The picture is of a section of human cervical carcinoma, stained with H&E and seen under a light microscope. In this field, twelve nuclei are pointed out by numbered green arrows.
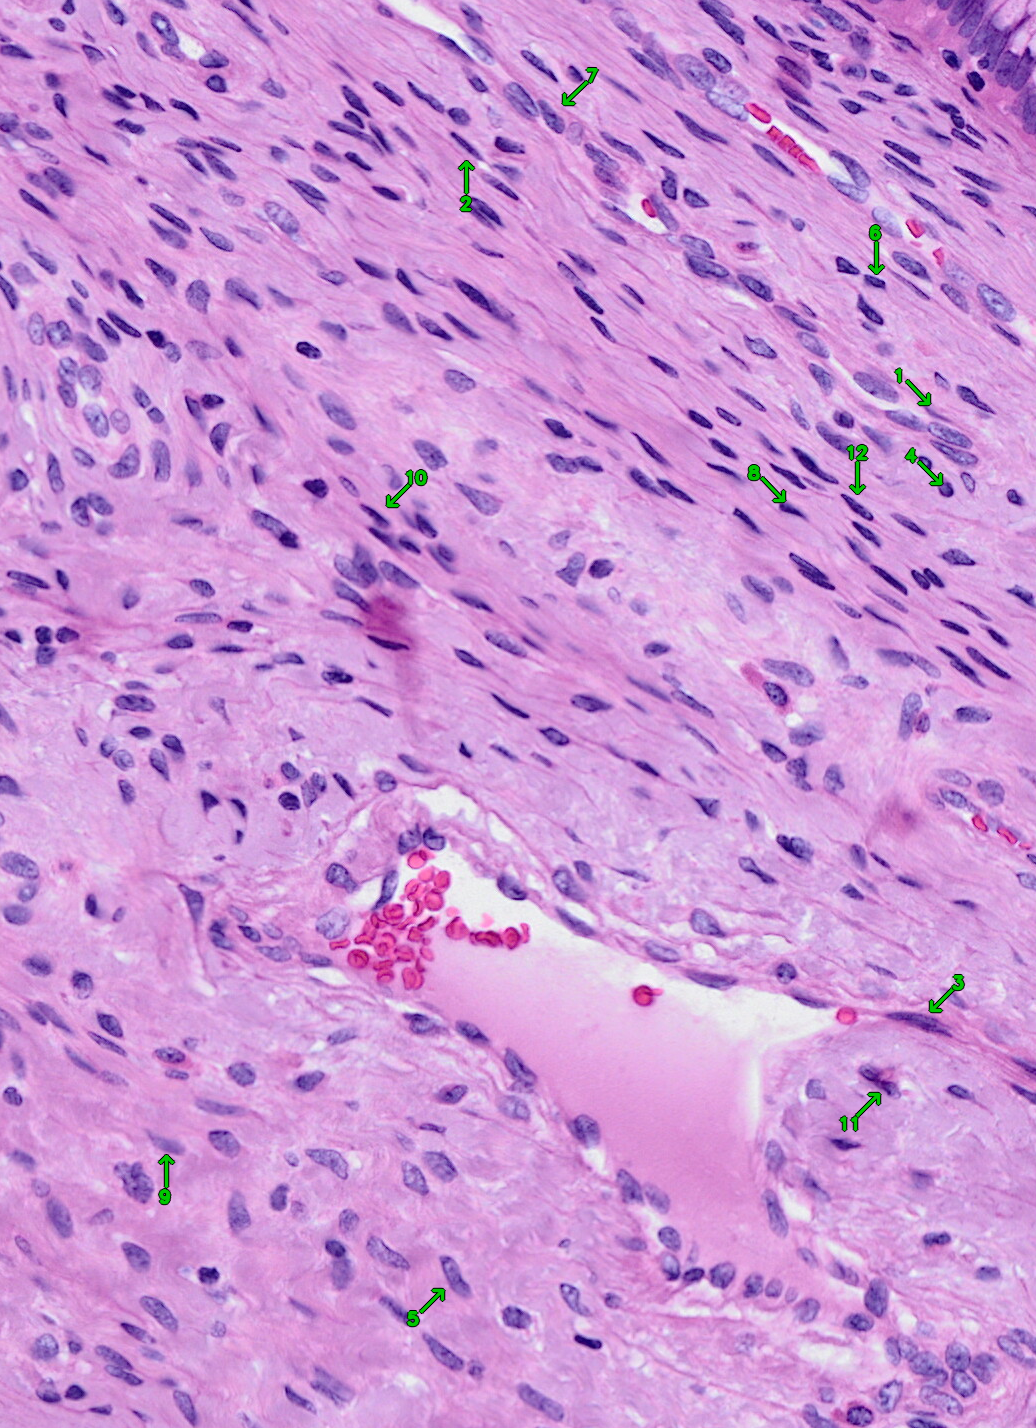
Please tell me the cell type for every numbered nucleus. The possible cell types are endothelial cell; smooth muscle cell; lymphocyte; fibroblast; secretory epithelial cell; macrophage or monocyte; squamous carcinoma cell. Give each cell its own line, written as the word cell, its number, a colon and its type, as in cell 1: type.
cell 1: endothelial cell
cell 2: fibroblast
cell 3: endothelial cell
cell 4: smooth muscle cell
cell 5: fibroblast
cell 6: fibroblast
cell 7: endothelial cell
cell 8: fibroblast
cell 9: fibroblast
cell 10: fibroblast
cell 11: macrophage or monocyte
cell 12: fibroblast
